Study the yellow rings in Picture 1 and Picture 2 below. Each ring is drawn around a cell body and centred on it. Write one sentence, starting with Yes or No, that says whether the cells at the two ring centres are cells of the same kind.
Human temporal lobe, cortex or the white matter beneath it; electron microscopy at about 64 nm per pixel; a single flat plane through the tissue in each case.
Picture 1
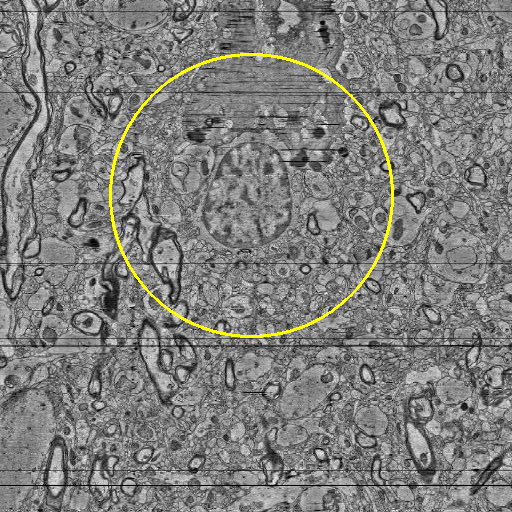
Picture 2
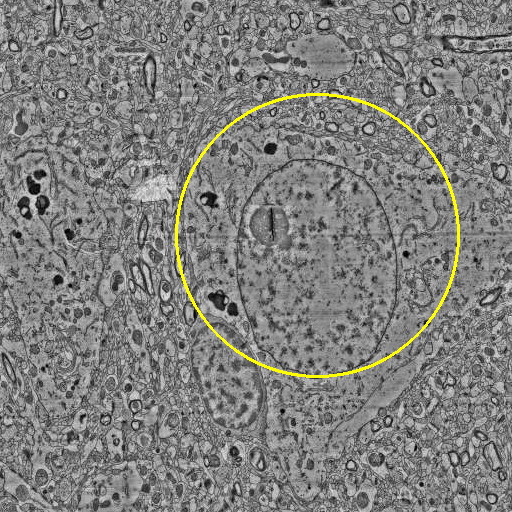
No, the cells at the ring centres are of two kinds.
